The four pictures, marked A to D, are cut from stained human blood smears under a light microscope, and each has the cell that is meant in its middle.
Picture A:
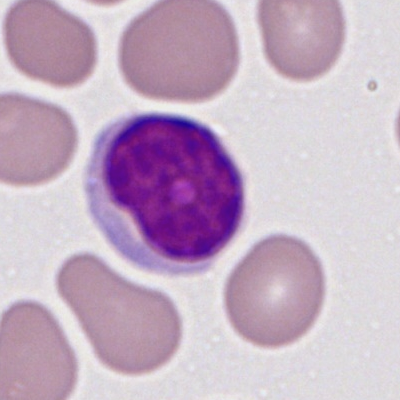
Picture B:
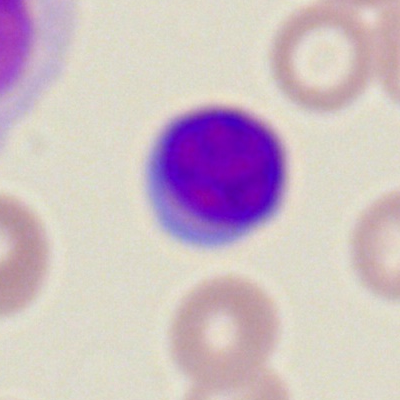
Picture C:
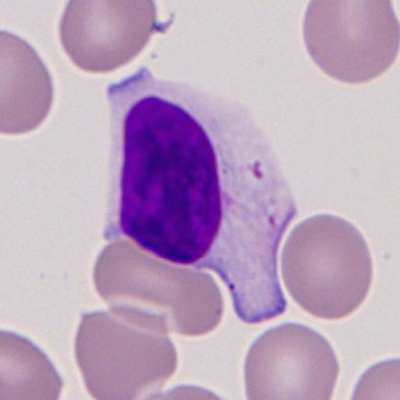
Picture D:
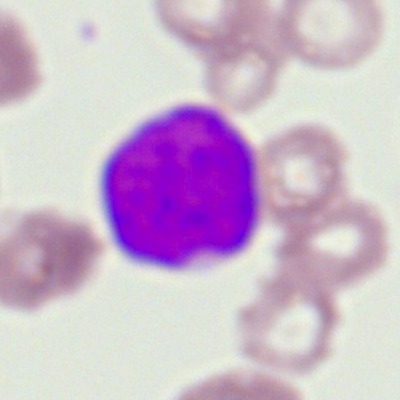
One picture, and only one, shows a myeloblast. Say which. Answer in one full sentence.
Picture D is the one that shows the myeloblast.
